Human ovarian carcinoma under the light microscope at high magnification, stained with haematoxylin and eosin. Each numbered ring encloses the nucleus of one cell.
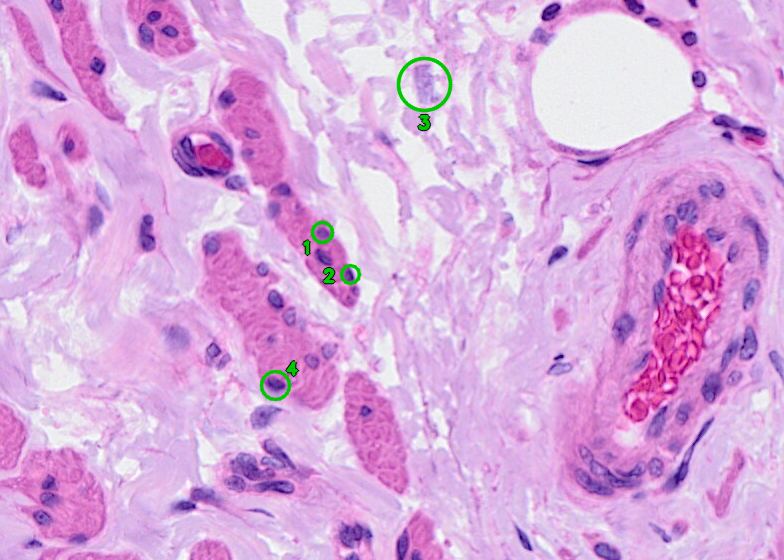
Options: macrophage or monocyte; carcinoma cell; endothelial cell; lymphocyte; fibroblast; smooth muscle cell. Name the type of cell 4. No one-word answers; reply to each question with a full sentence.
Cell 4, as marked in the section, is a smooth muscle cell.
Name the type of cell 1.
In this section, the cell tagged 1 is a smooth muscle cell.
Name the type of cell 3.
Marked with the number 3, this cell is a fibroblast.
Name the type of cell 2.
Cell 2, as marked in the section, is a smooth muscle cell.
